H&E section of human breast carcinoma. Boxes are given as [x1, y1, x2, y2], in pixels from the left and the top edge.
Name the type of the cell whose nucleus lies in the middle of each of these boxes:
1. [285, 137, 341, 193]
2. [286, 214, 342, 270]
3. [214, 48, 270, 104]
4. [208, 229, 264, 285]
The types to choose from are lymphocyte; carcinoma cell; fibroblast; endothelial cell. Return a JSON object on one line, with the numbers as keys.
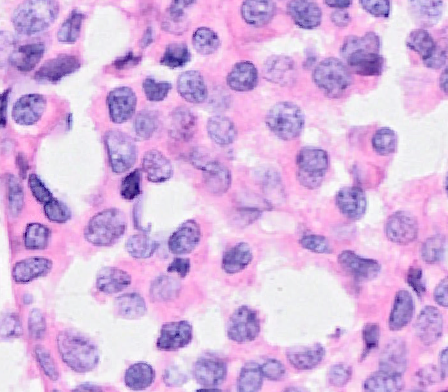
{"1": "carcinoma cell", "2": "endothelial cell", "3": "carcinoma cell", "4": "carcinoma cell"}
